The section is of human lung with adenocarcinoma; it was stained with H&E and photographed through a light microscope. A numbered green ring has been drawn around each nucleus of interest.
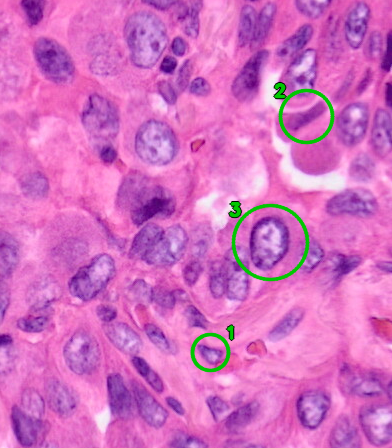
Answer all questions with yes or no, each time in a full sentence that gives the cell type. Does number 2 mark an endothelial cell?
No; cell 2 is a carcinoma cell, not an endothelial cell.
